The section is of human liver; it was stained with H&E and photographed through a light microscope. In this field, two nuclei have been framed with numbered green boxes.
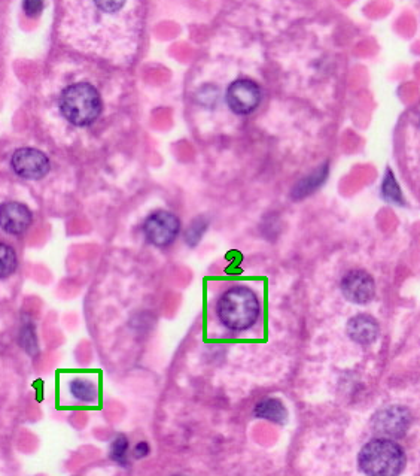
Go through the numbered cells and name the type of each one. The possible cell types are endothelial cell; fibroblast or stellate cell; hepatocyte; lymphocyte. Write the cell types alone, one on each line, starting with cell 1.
lymphocyte
hepatocyte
